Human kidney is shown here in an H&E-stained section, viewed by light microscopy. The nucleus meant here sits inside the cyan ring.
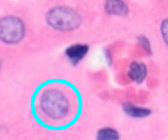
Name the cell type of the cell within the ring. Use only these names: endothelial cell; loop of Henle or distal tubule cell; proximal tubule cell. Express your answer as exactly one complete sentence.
Histopathologically, the cell within the ring is a proximal tubule cell.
